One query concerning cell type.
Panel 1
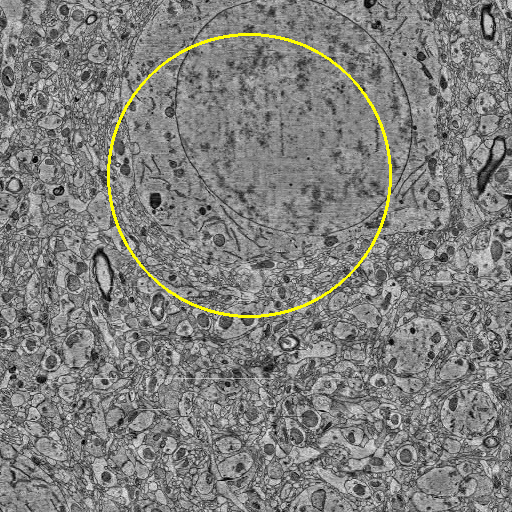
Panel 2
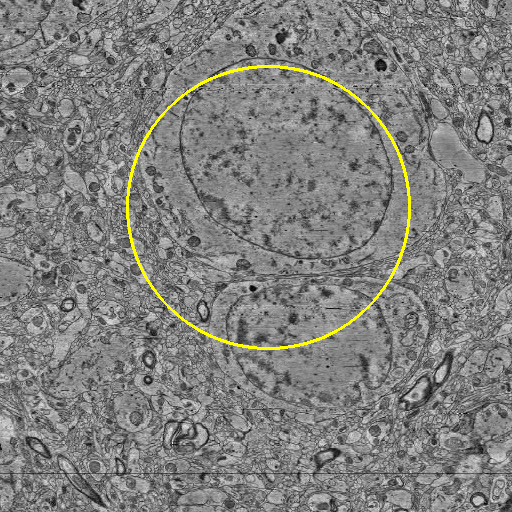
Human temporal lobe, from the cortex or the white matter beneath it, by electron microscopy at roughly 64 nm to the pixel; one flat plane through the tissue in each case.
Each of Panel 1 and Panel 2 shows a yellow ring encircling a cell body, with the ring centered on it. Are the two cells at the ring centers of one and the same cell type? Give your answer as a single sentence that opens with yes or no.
Yes, the cell centered in Panel 1 and the one in Panel 2 share a type.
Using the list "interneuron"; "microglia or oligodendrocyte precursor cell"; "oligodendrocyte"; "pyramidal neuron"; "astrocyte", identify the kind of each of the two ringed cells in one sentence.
Each cell at the centre of a ring is a pyramidal neuron.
